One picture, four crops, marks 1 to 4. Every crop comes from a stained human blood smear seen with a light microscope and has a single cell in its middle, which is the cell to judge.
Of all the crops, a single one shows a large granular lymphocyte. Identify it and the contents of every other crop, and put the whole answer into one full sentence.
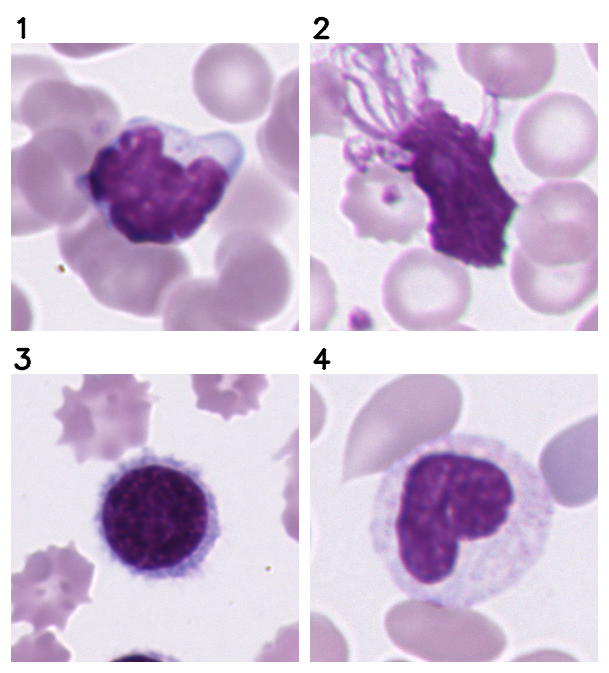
Summary: crop 1 shows a large granular lymphocyte, while crop 2 is a smudge cell, crop 3 is a hairy cell and crop 4 is a segmented neutrophil.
